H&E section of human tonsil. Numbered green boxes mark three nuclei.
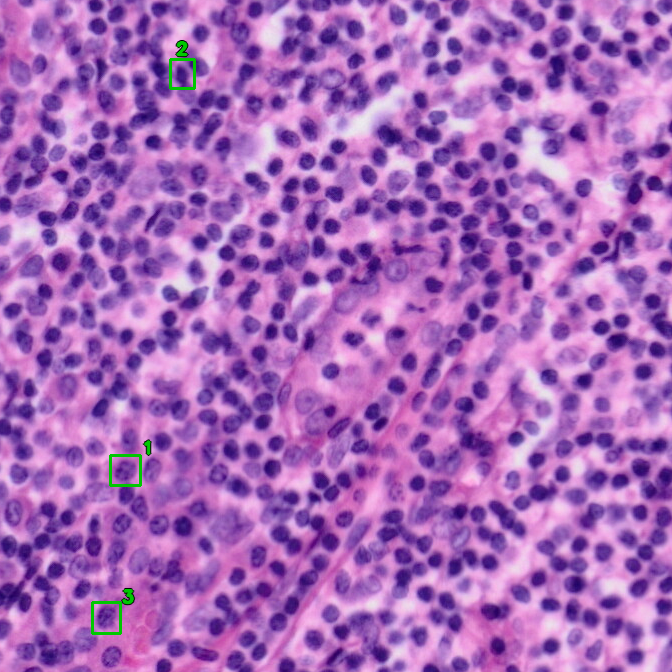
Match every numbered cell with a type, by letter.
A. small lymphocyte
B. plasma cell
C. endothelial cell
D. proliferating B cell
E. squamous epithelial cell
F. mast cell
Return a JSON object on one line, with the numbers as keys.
{"1": "B", "2": "A", "3": "B"}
